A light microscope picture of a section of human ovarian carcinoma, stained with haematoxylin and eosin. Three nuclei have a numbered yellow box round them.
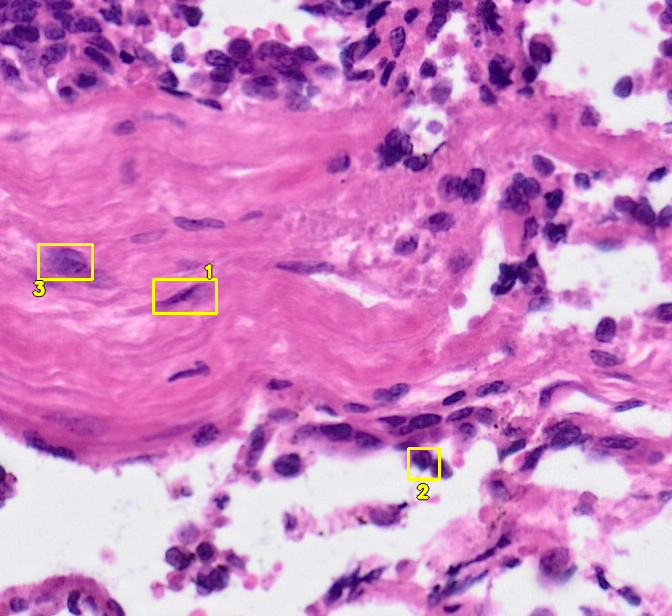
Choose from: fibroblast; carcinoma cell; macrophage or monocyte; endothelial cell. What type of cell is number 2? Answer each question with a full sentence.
The cell whose nucleus carries the number 2 is a carcinoma cell.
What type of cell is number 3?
Among the marked cells, number 3 is a fibroblast.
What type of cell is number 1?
At number 1, the marked cell is a fibroblast.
